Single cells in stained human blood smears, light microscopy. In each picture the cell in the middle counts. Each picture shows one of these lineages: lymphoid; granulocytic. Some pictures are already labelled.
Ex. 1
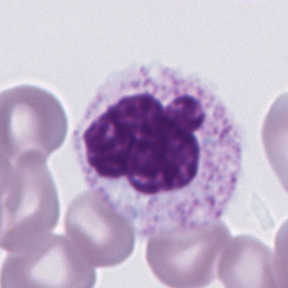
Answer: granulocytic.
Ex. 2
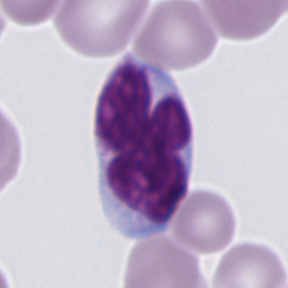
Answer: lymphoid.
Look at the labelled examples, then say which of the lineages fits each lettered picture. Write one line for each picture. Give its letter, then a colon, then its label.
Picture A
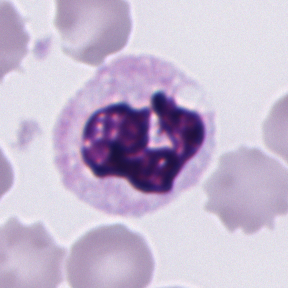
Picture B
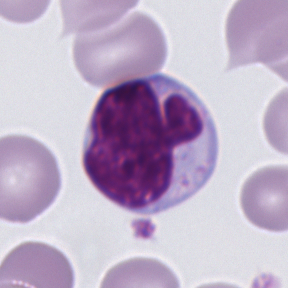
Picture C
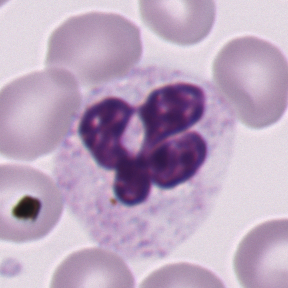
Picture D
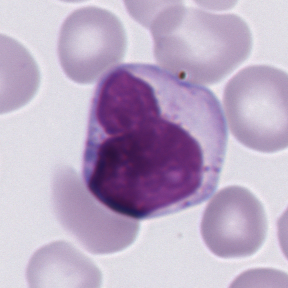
A: granulocytic.
B: lymphoid.
C: granulocytic.
D: lymphoid.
